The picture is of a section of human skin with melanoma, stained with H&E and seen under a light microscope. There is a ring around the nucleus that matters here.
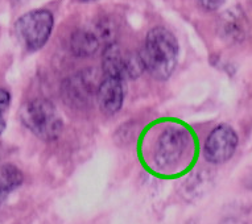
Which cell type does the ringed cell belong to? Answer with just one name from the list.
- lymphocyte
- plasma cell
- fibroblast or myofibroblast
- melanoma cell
melanoma cell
